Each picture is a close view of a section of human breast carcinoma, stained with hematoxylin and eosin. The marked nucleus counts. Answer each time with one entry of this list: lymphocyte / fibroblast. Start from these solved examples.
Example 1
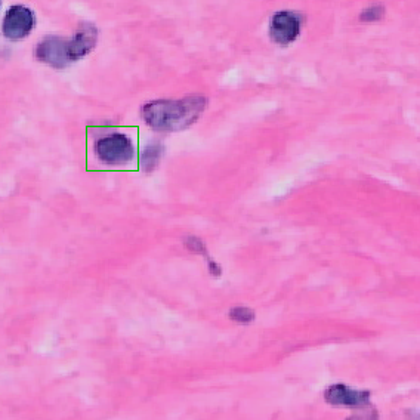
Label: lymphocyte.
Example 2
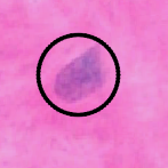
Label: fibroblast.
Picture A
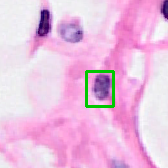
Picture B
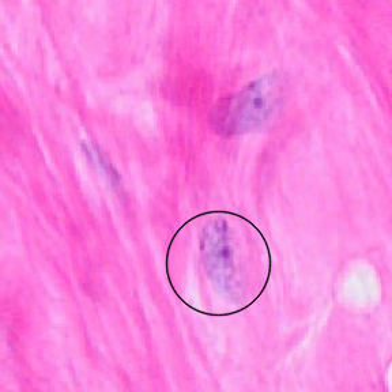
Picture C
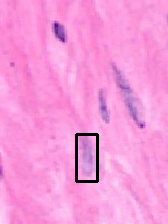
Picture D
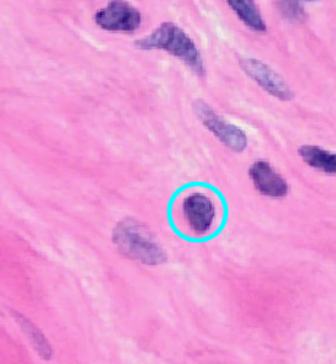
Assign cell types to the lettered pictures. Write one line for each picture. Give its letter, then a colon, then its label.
A: lymphocyte.
B: fibroblast.
C: fibroblast.
D: lymphocyte.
